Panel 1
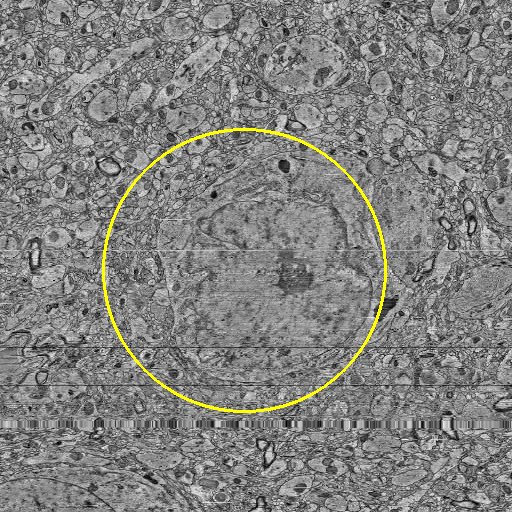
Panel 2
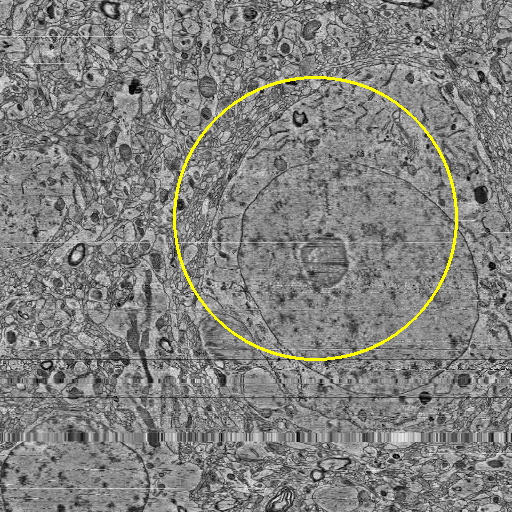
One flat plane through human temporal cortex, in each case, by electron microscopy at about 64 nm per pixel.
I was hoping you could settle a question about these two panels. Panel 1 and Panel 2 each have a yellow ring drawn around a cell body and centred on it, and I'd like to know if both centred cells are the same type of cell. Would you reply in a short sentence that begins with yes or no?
No, they are two types of cell.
